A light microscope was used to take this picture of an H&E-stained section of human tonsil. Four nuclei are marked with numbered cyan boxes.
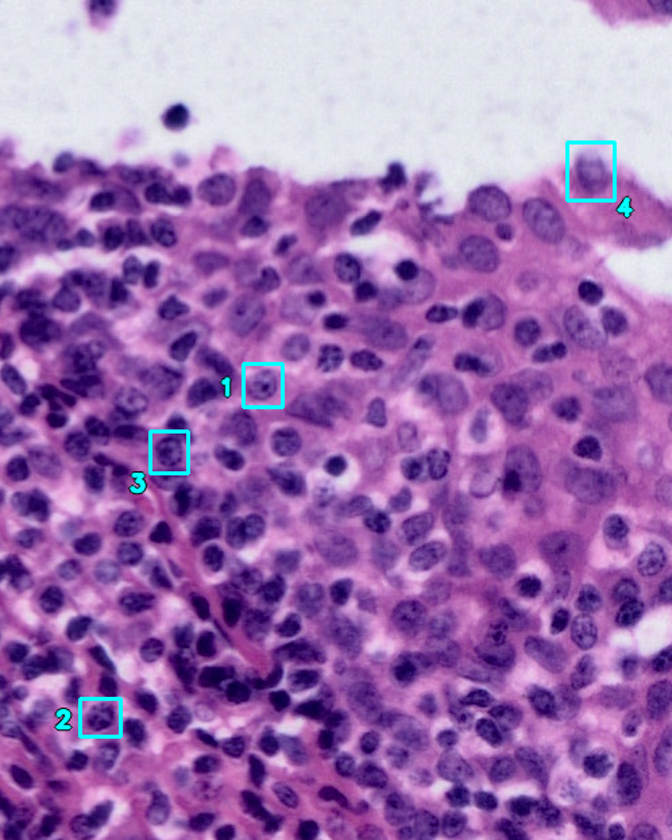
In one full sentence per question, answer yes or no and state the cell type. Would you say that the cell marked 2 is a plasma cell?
Yes, the cell whose nucleus carries number 2 is a plasma cell.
